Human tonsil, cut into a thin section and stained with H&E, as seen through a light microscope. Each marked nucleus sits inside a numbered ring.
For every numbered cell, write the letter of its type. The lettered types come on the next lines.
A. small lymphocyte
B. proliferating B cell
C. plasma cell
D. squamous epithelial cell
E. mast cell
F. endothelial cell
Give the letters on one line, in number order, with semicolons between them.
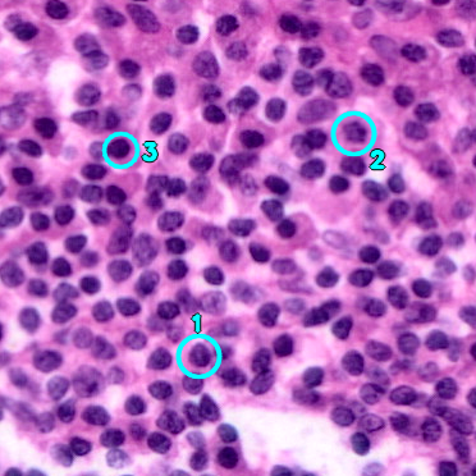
A; C; C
